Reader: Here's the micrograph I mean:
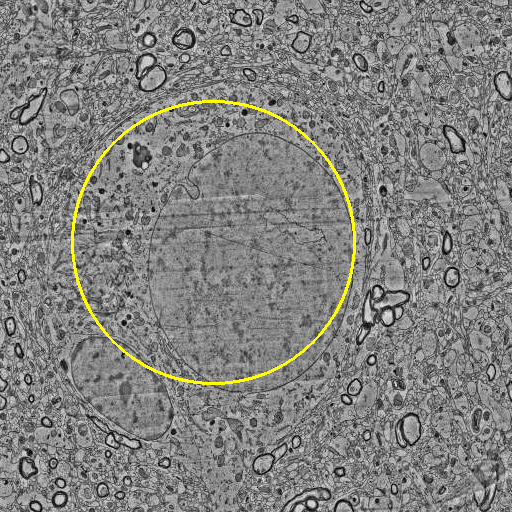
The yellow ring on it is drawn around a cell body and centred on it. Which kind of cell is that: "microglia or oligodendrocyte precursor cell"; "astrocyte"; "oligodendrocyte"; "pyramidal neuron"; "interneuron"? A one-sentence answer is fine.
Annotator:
The ring is centred on a pyramidal neuron.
